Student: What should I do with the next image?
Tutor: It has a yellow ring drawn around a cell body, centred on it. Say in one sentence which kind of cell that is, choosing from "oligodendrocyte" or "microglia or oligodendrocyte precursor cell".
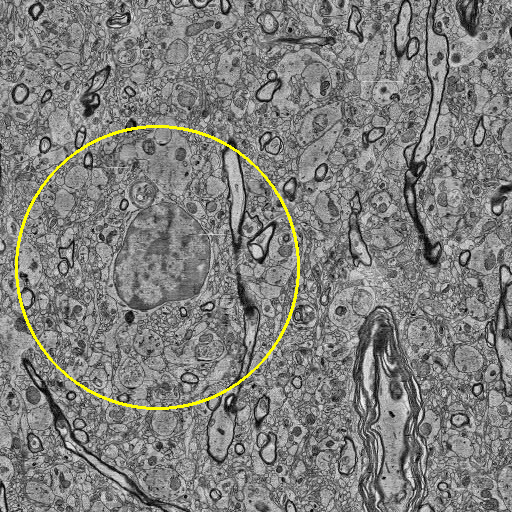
The ring's centre is occupied by a microglial cell or oligodendrocyte precursor cell.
